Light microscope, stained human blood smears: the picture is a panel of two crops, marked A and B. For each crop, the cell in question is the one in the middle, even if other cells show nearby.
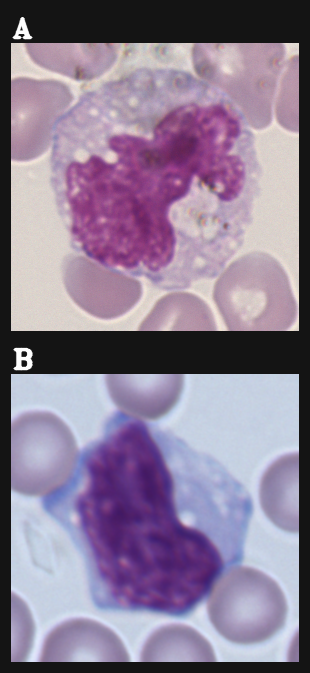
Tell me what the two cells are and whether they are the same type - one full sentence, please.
No, a myeloblast is in crop B, and a monocyte is in crop A.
